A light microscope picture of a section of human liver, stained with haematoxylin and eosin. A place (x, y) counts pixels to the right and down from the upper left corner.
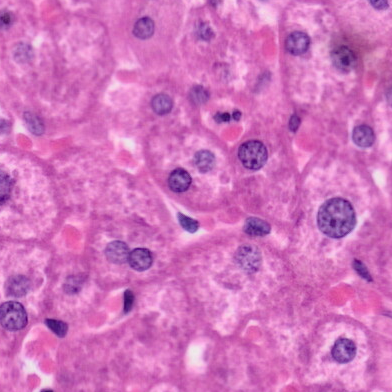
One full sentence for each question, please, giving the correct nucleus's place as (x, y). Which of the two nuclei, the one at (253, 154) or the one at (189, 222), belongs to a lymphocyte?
The one nucleus of the two that belongs to a lymphocyte is at (189, 222).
